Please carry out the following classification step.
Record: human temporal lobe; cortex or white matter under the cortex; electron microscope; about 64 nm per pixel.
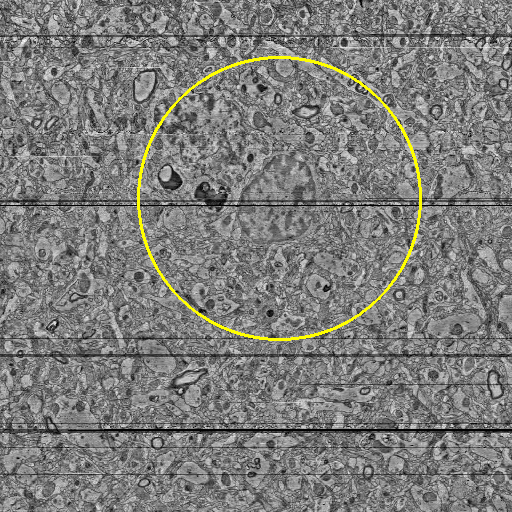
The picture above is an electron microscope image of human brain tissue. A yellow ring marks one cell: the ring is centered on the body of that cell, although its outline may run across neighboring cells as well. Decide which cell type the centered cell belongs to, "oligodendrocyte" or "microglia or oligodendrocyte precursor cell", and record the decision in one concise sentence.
The cell centered in the yellow ring is an oligodendrocyte.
